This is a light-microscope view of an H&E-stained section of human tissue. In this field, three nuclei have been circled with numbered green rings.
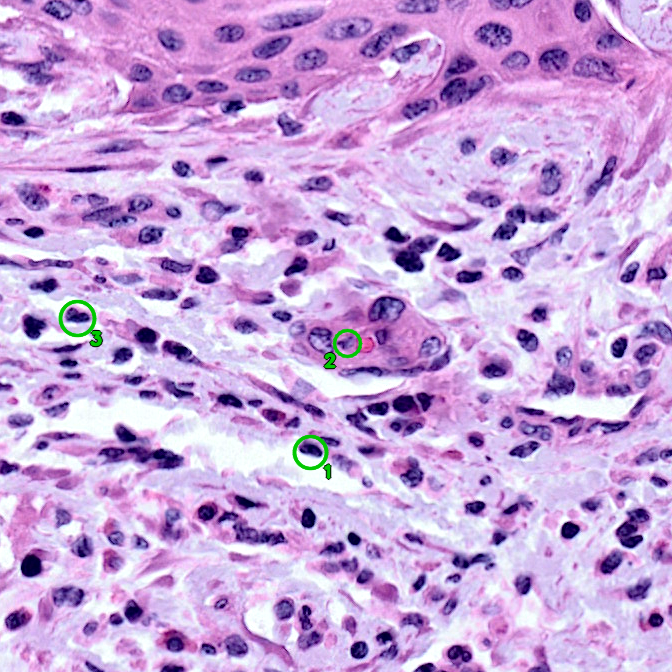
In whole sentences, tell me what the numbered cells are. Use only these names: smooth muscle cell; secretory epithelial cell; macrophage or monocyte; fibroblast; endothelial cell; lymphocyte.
Cells 1 and 3 are lymphocytes. Cell 2 is an endothelial cell.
